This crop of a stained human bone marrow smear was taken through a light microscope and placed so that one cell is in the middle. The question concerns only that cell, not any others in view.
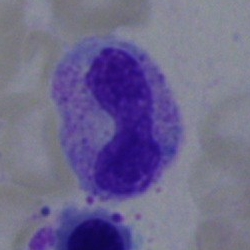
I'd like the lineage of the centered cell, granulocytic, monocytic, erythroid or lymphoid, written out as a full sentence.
Lineage result for the cell in the middle of the crop: granulocytic.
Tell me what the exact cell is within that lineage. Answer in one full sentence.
To answer, the cell in the center of the crop is a band neutrophil.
